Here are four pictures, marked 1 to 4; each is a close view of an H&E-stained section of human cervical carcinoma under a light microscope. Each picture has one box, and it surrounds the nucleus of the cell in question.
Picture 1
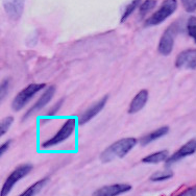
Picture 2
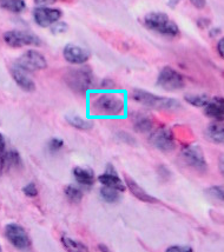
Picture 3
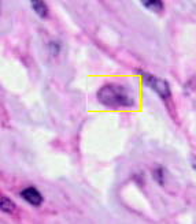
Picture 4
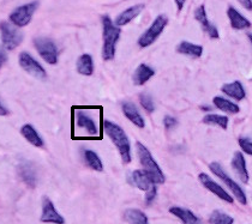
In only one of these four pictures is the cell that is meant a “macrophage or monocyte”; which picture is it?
3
